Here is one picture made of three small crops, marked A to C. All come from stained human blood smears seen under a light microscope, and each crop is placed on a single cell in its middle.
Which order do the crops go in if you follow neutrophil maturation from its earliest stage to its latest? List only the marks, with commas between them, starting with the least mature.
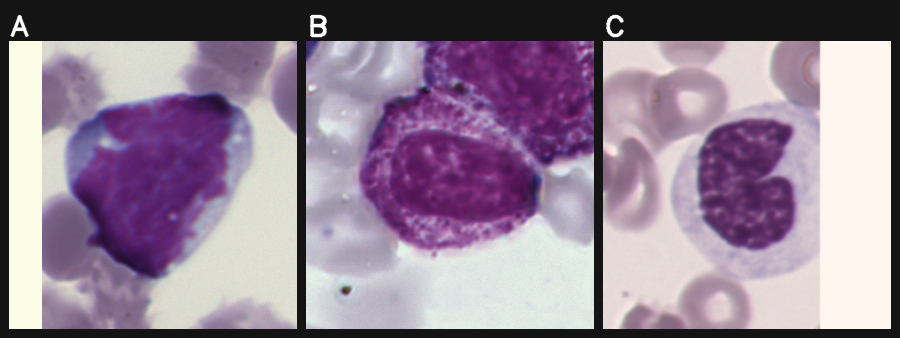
A, B, C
